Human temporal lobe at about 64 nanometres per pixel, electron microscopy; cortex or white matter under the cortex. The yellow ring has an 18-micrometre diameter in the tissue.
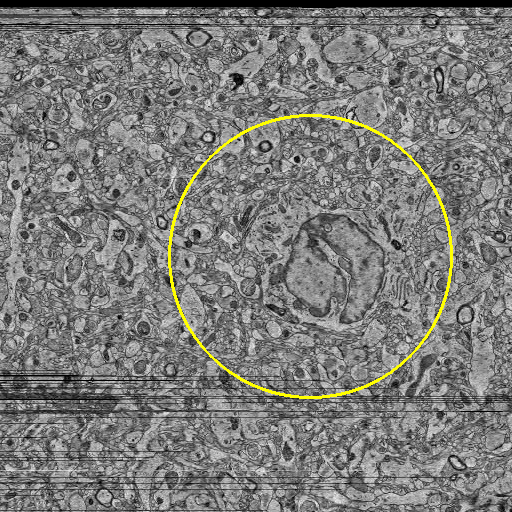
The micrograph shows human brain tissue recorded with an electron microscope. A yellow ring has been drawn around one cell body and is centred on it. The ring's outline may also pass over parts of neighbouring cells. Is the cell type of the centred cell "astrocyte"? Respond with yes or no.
no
